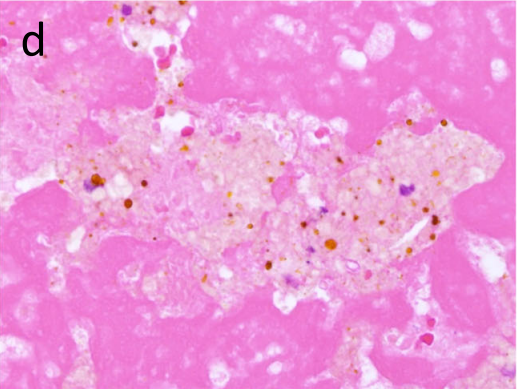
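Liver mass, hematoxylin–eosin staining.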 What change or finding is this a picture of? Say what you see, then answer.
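Necrotic tissue. Broad fields of pink amorphous material without cell outlines. Only small purple fragments instead of intact nuclei.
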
